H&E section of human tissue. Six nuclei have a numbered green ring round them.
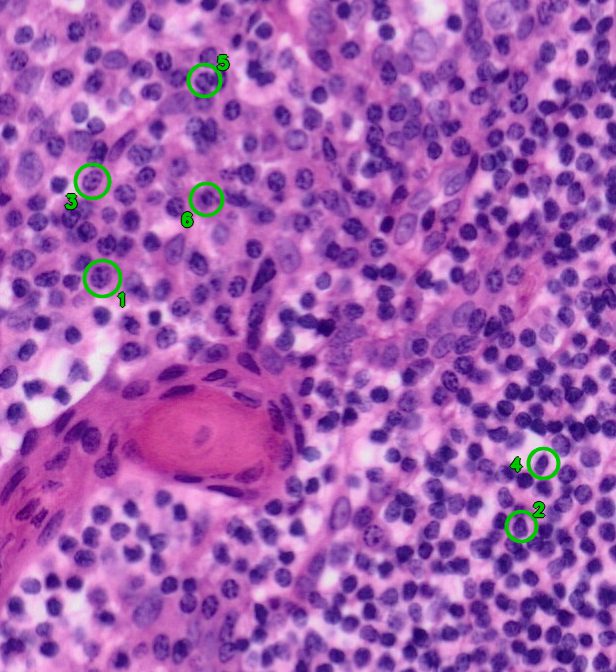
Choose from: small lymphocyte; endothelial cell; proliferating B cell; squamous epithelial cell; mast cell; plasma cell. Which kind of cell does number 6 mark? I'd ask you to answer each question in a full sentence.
Number 6 among the marked cells is a plasma cell.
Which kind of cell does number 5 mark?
As for number 5, that cell is a plasma cell.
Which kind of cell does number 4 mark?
The cell with the number 4 is a small lymphocyte.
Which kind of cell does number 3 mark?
The cell indicated by marker 3 is a plasma cell in this section.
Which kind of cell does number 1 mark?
Nucleus 1 in this section belongs to a plasma cell.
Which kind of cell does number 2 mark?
The cell that carries the label 2 is a small lymphocyte.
